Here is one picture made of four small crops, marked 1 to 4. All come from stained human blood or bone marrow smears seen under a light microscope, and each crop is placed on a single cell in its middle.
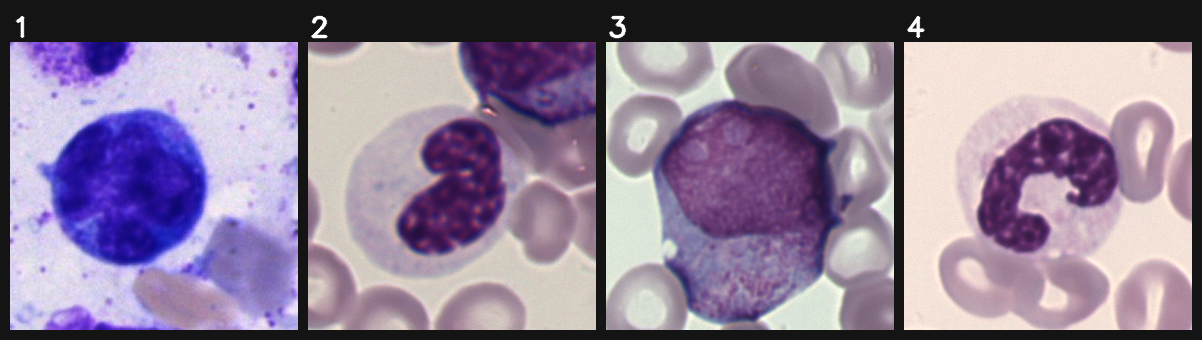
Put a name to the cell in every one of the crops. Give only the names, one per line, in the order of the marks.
monocyte
band neutrophil
promyelocyte
band neutrophil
